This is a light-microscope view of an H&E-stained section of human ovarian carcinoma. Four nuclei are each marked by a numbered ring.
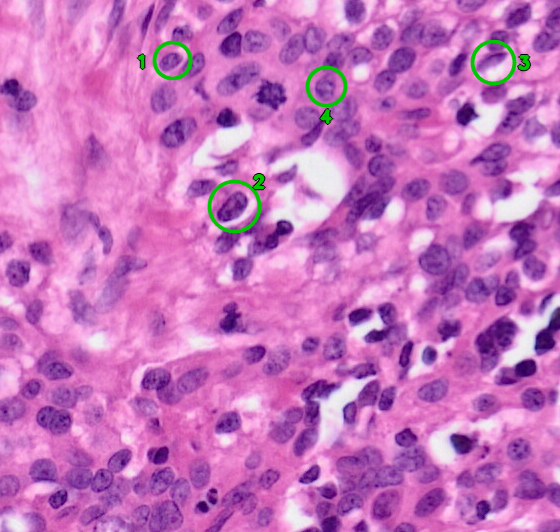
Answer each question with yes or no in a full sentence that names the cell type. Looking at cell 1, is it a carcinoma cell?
No, number 1 corresponds to a macrophage or monocyte, not a carcinoma cell.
